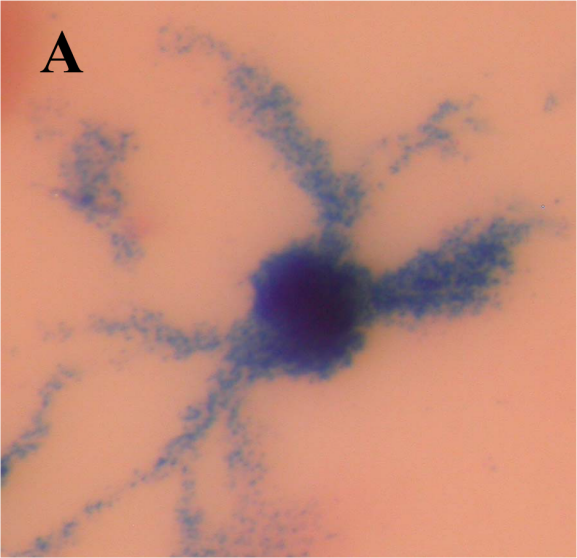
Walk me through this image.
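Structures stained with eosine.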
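Several streams of amoeboid cells, speckled with blue, run inward from all sides across a pale pink background toward a single dense, dark blue-purple rounded mass at the centre. The streams are broad near the centre and thin out into finer, dotted trails farther away, and some branch. A few loose patches of blue-speckled cells lie apart from the main streams. This is the pattern of social amoebae in the act of aggregating: individual cells move in streams toward an aggregation centre, where they pile up into a compact mass.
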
